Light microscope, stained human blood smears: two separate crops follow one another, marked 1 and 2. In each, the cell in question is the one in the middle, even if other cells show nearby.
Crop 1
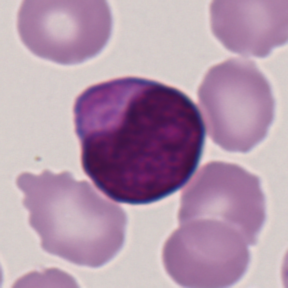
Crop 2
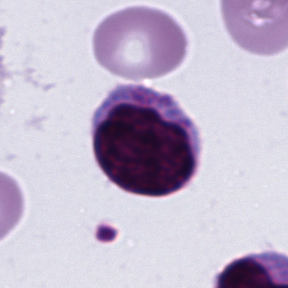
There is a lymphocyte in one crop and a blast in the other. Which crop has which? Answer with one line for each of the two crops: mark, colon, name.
1: blast
2: lymphocyte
